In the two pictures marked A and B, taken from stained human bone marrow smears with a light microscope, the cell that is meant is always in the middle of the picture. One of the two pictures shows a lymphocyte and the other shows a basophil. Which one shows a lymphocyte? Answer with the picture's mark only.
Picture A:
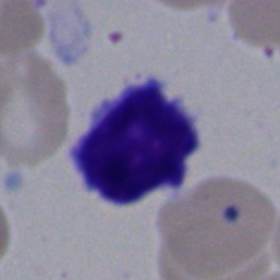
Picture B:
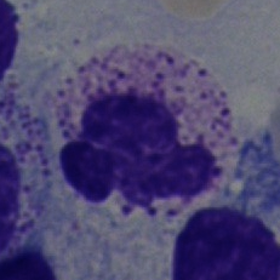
A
